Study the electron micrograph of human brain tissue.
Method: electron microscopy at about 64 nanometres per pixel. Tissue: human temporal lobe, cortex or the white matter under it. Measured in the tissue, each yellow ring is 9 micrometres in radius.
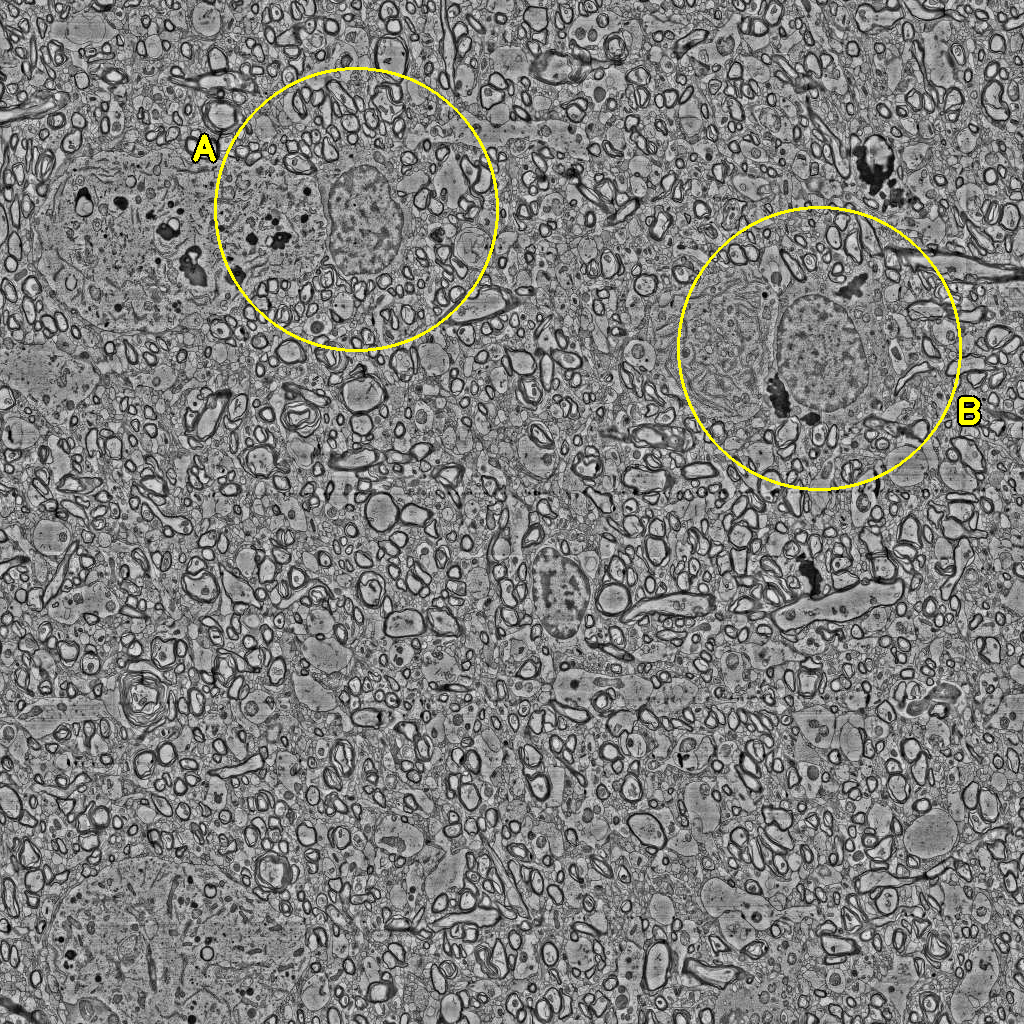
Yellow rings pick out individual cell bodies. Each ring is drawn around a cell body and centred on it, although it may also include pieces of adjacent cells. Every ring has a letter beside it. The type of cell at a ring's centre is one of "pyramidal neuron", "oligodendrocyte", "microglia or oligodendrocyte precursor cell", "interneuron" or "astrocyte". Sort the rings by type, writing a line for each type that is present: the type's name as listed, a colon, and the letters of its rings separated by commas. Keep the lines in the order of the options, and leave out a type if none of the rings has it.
oligodendrocyte: A, B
